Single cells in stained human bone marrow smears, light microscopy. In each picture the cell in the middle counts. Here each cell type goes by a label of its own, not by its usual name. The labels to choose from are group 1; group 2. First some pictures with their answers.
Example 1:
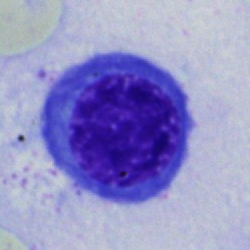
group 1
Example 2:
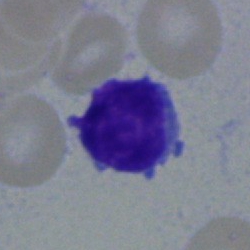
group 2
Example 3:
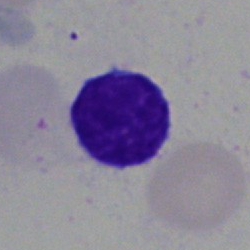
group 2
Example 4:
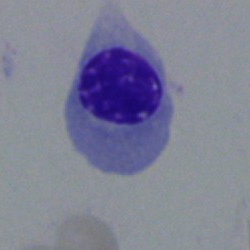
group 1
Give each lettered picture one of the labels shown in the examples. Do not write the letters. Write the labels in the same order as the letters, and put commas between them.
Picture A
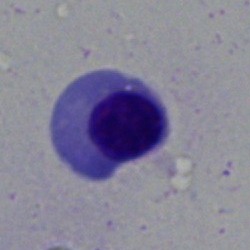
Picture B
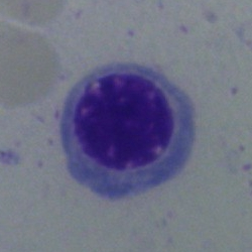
group 1, group 1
